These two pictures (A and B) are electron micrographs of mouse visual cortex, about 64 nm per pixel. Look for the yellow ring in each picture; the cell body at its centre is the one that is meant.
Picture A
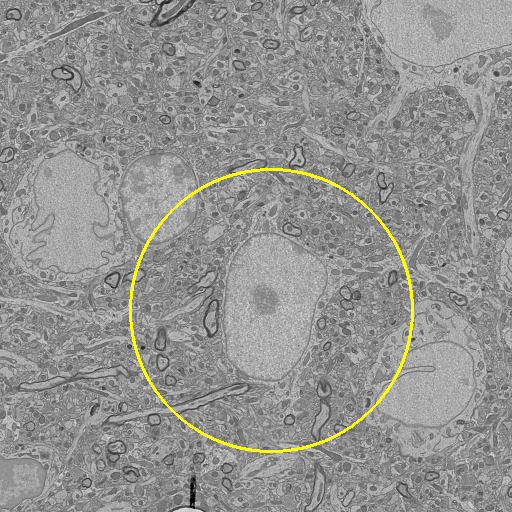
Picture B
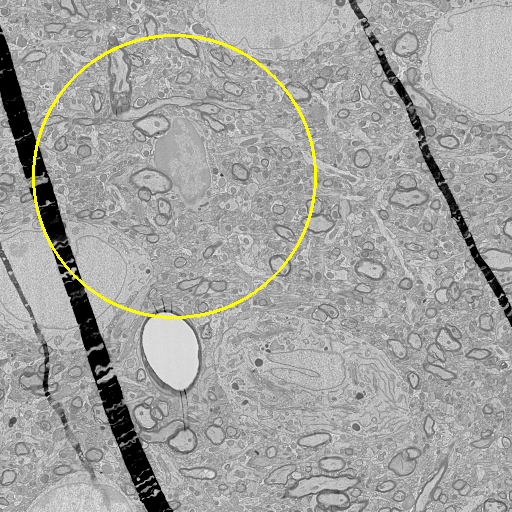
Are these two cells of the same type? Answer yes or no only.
no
